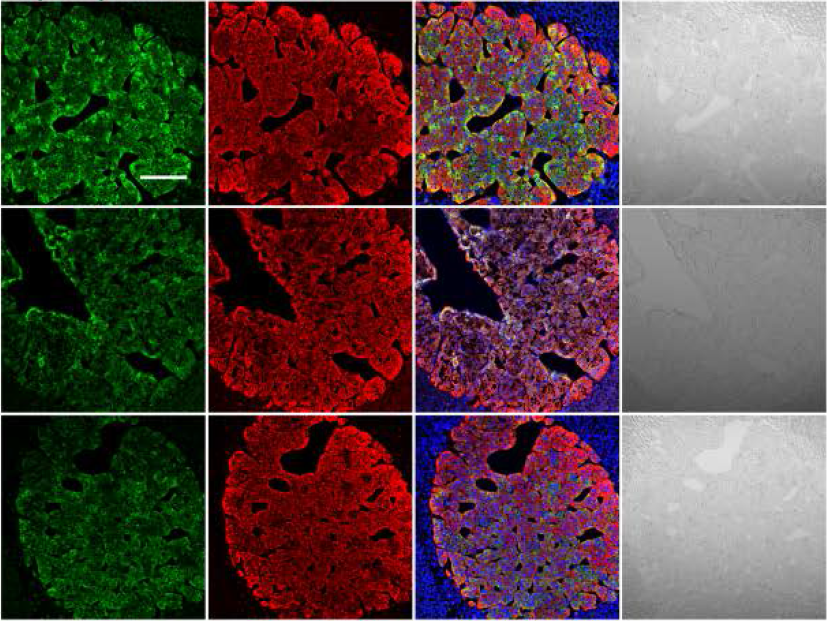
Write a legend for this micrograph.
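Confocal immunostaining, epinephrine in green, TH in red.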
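These are low-power sections of adrenal gland in which a large compact mass of cells arranged in clusters and cords occupies the centre, broken up by dark empty spaces. The central cells are labelled red throughout, with finer granular green label scattered among them, while a rim of densely packed blue nuclei lies outside the central mass at the edges.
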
